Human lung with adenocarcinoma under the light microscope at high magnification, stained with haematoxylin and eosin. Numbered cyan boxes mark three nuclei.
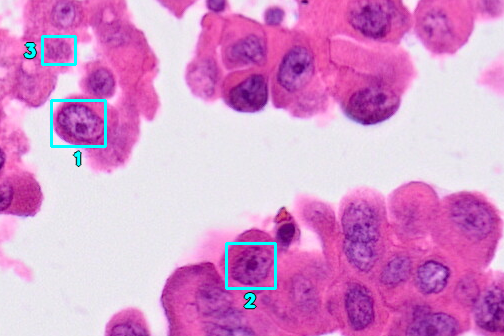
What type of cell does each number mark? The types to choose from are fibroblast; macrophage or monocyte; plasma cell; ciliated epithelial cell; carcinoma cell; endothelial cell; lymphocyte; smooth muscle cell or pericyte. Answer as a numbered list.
1. carcinoma cell
2. carcinoma cell
3. macrophage or monocyte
